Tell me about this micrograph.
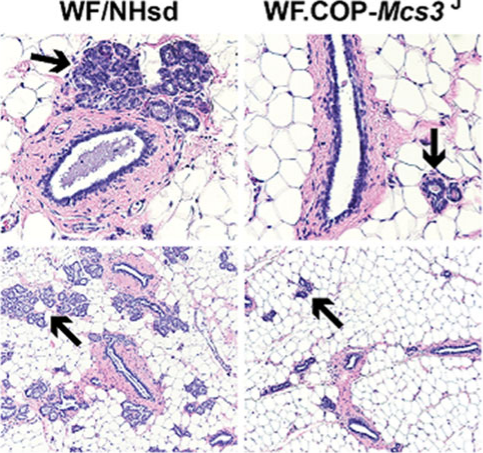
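Mammary gland tissue in which epithelial structures sit in a background of adipocytes, the large clear polygonal cells with thin pink membranes. Mature ducts appear as elongated tubes with an open lumen. A thin layer of epithelial cells with dark purple nuclei lines each lumen. A thick cuff of pink fibrous stroma surrounds the ducts. Beside the ducts lie lobuloalveolar structures, which are clusters of small round acini lined by cuboidal cells with basophilic nuclei.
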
